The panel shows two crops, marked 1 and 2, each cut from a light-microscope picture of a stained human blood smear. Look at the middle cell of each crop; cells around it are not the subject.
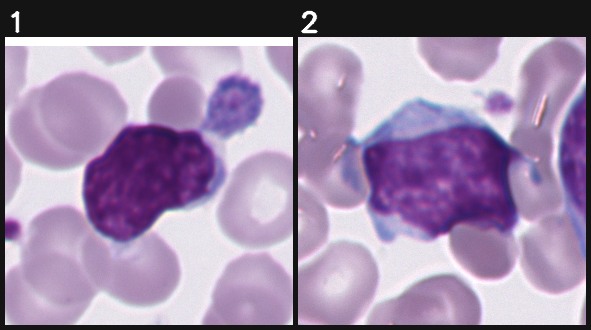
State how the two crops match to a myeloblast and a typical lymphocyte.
1: typical lymphocyte
2: myeloblast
